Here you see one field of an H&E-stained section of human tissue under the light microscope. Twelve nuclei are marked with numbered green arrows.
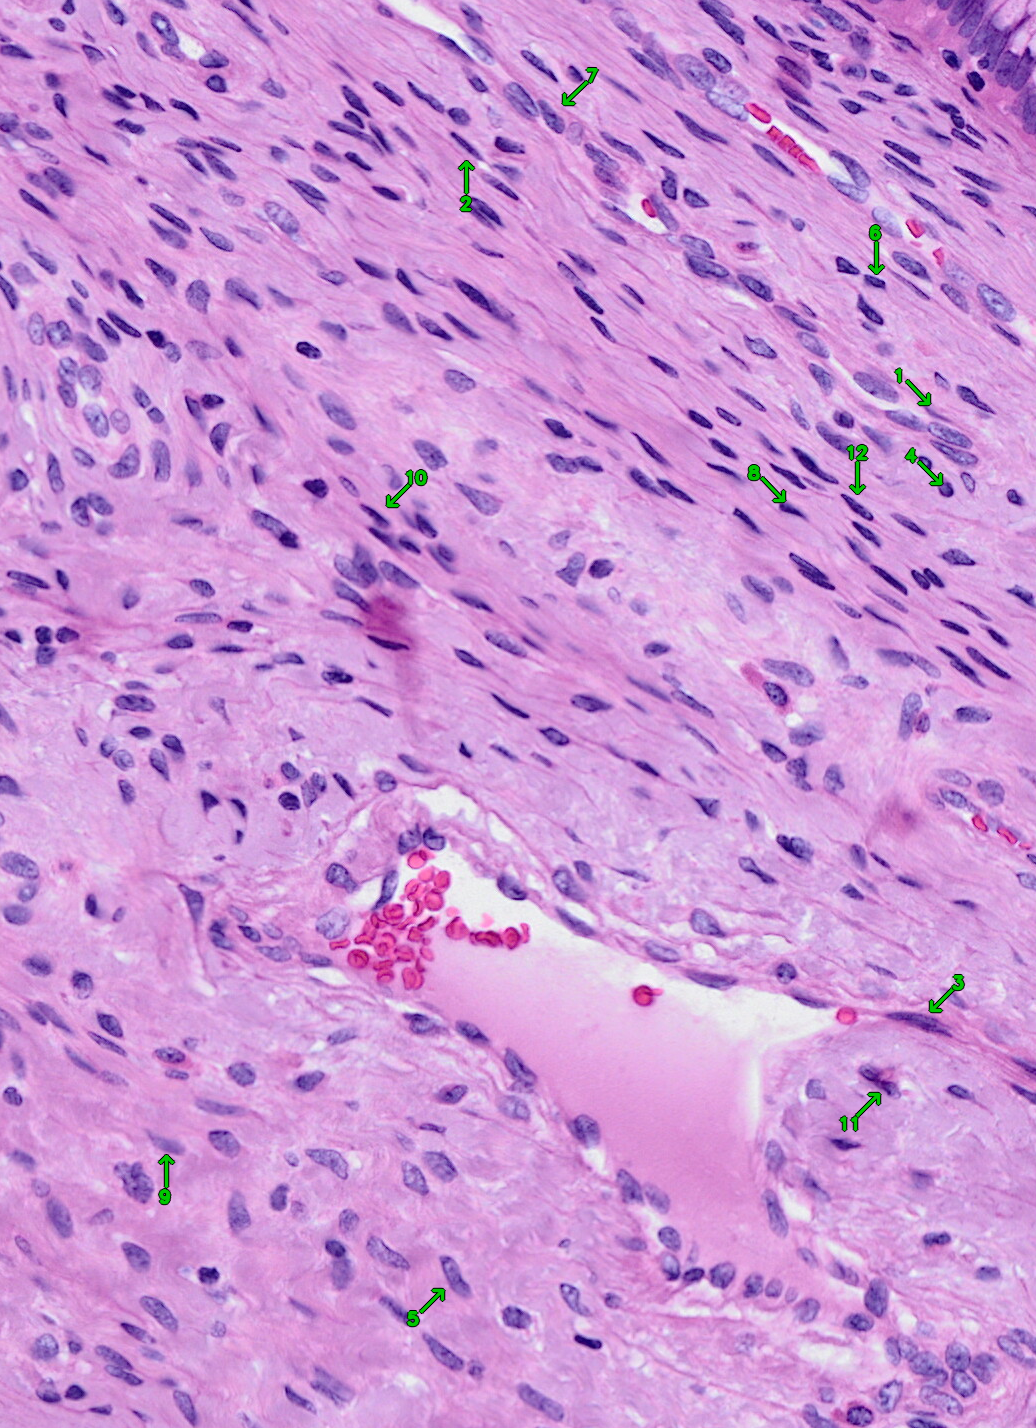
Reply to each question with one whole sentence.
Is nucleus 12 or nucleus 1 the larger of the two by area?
The larger nucleus is 12, at roughly 2 times the area of 1.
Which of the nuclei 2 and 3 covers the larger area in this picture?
Nucleus 3 covers more area, about 1.5 times as much as nucleus 2.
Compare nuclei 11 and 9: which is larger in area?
It is nucleus 9, which covers about 2.5 times the area of nucleus 11.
